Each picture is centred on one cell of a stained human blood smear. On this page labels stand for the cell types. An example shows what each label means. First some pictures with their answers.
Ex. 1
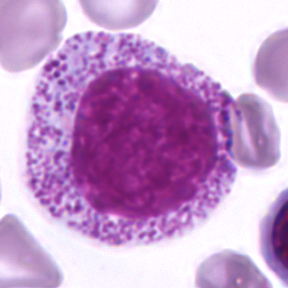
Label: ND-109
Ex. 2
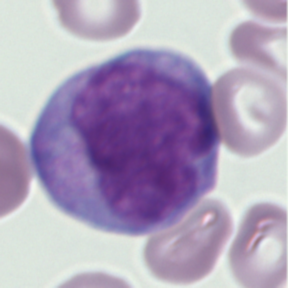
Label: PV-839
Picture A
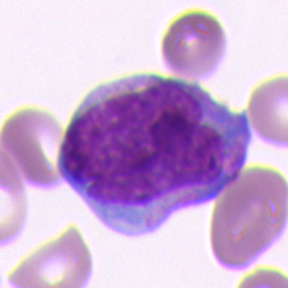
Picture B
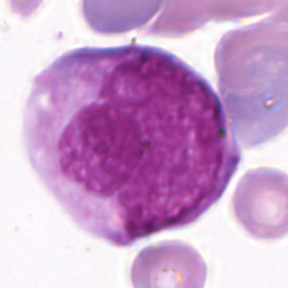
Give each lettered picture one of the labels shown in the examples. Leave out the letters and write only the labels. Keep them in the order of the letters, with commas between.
PV-839, PV-839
